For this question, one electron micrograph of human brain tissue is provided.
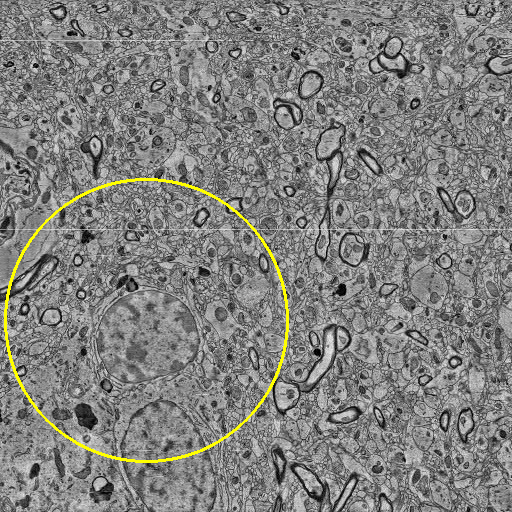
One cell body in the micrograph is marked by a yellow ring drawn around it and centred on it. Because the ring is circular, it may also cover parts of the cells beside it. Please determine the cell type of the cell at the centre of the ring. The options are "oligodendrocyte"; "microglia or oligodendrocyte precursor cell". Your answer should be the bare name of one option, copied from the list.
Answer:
microglia or oligodendrocyte precursor cell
